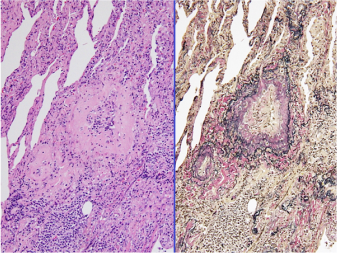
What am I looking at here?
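This lung tissue shows a small vein whose lumen is filled by pale, loosely arranged fibrous tissue in the intima. The surrounding interstitium is fibrous, with elongated clefts between bundles of tissue.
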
